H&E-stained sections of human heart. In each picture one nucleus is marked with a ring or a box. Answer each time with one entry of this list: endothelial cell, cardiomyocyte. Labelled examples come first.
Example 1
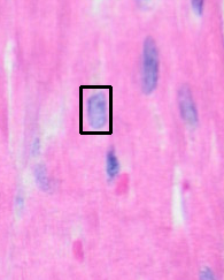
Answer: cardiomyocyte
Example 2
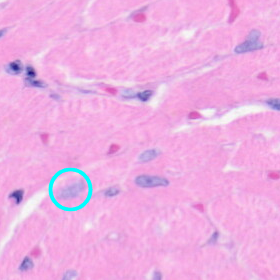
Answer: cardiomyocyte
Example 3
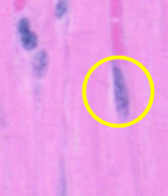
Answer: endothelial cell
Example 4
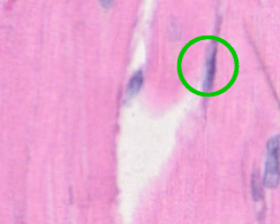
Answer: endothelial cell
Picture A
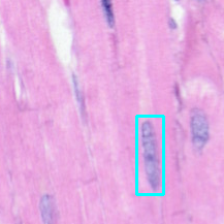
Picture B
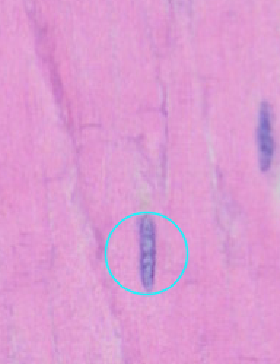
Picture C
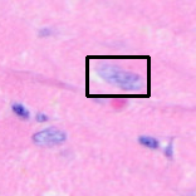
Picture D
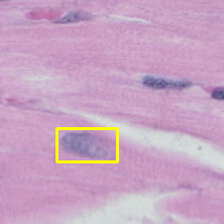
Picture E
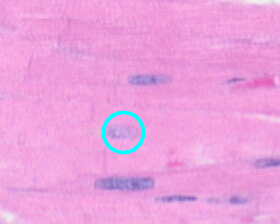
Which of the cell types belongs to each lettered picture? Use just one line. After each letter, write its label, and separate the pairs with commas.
A cardiomyocyte, B cardiomyocyte, C cardiomyocyte, D cardiomyocyte, E cardiomyocyte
